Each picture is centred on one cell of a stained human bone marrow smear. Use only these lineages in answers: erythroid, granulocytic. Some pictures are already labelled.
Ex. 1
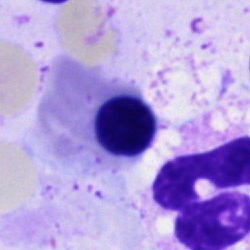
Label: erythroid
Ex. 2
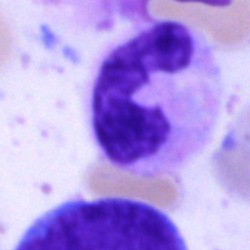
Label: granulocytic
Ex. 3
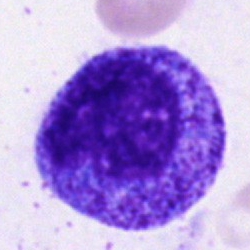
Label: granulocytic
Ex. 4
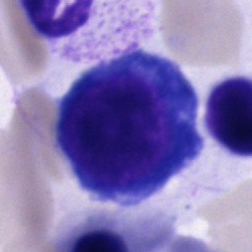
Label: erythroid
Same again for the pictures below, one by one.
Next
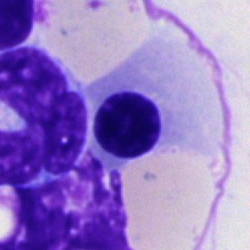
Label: erythroid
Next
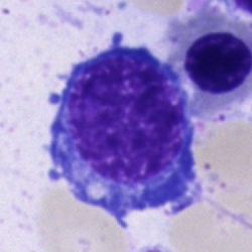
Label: erythroid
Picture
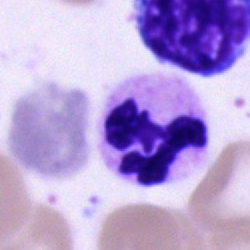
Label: granulocytic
